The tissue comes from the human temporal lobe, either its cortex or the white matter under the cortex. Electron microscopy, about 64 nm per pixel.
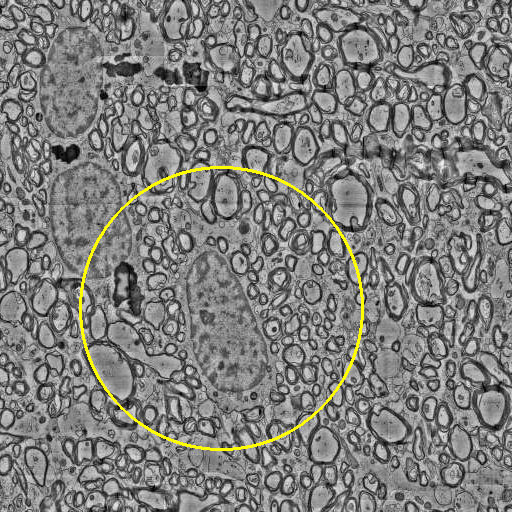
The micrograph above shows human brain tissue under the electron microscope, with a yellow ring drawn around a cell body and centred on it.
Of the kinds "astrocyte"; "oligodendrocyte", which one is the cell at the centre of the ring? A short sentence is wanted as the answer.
The one at the centre of the ring is an oligodendrocyte.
